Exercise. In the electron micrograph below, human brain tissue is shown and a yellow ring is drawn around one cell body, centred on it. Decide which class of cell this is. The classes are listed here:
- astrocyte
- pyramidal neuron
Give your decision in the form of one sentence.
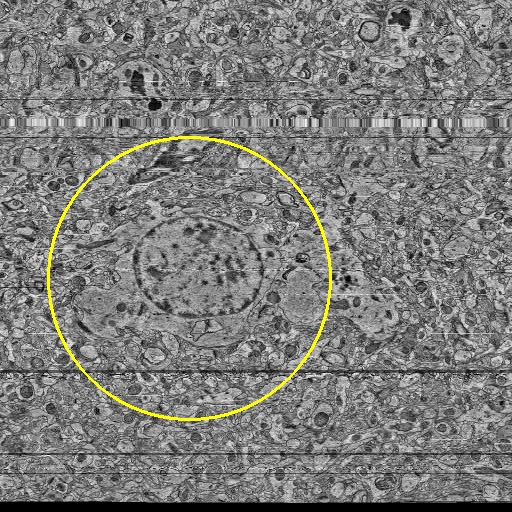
The cell body marked by the ring belongs to an astrocyte.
